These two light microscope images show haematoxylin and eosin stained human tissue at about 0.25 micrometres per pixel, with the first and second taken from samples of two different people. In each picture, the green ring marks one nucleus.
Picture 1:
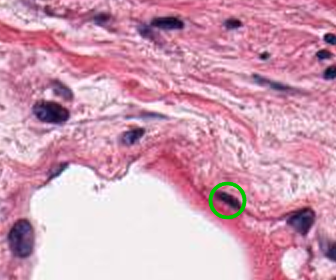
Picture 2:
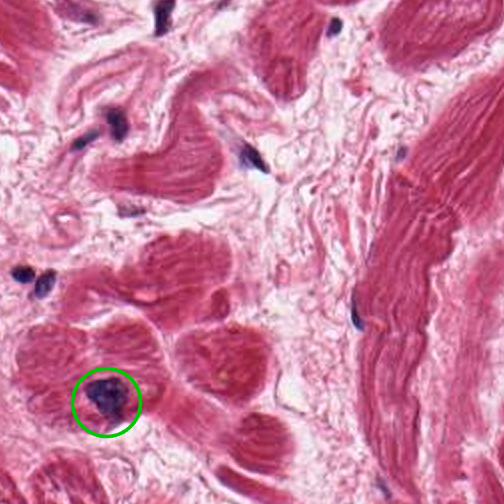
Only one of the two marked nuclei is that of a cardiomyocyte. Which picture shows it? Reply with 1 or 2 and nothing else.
2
